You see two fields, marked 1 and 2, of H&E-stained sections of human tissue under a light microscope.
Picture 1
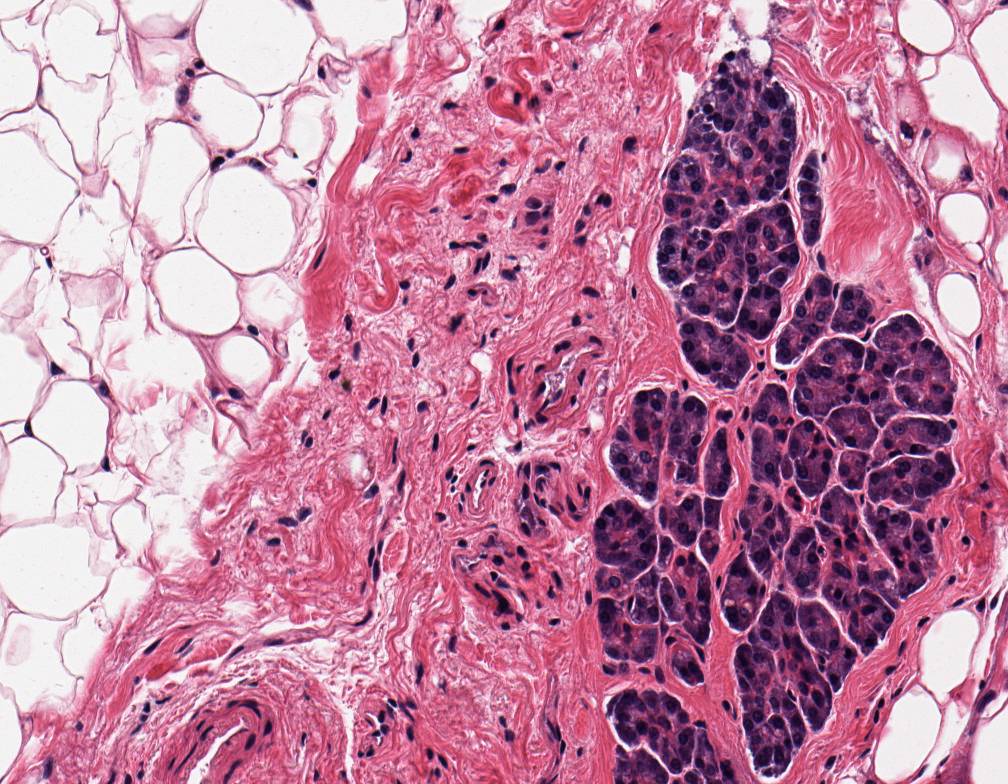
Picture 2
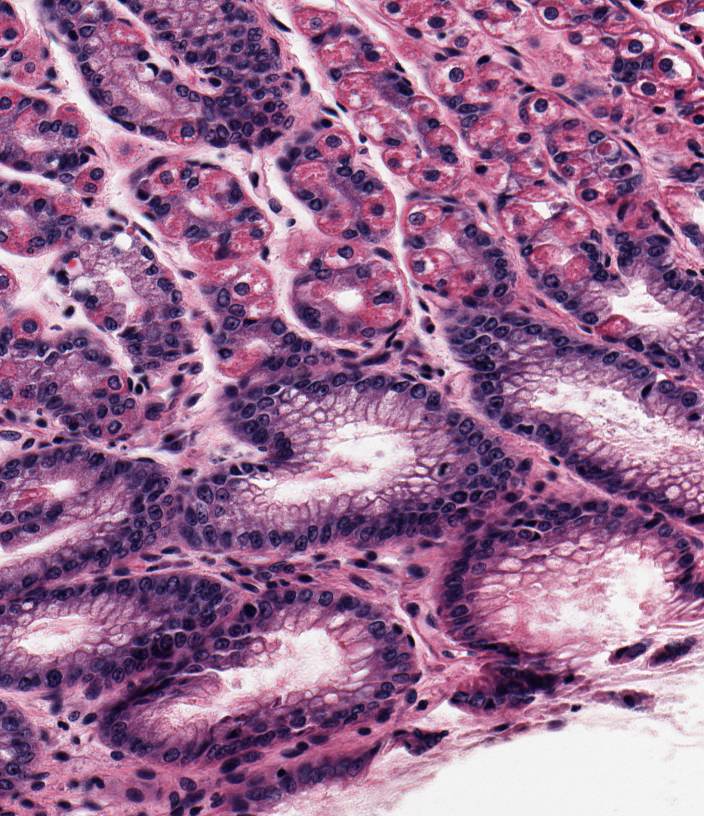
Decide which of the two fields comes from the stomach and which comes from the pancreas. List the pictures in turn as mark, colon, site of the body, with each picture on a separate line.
1: pancreas
2: stomach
